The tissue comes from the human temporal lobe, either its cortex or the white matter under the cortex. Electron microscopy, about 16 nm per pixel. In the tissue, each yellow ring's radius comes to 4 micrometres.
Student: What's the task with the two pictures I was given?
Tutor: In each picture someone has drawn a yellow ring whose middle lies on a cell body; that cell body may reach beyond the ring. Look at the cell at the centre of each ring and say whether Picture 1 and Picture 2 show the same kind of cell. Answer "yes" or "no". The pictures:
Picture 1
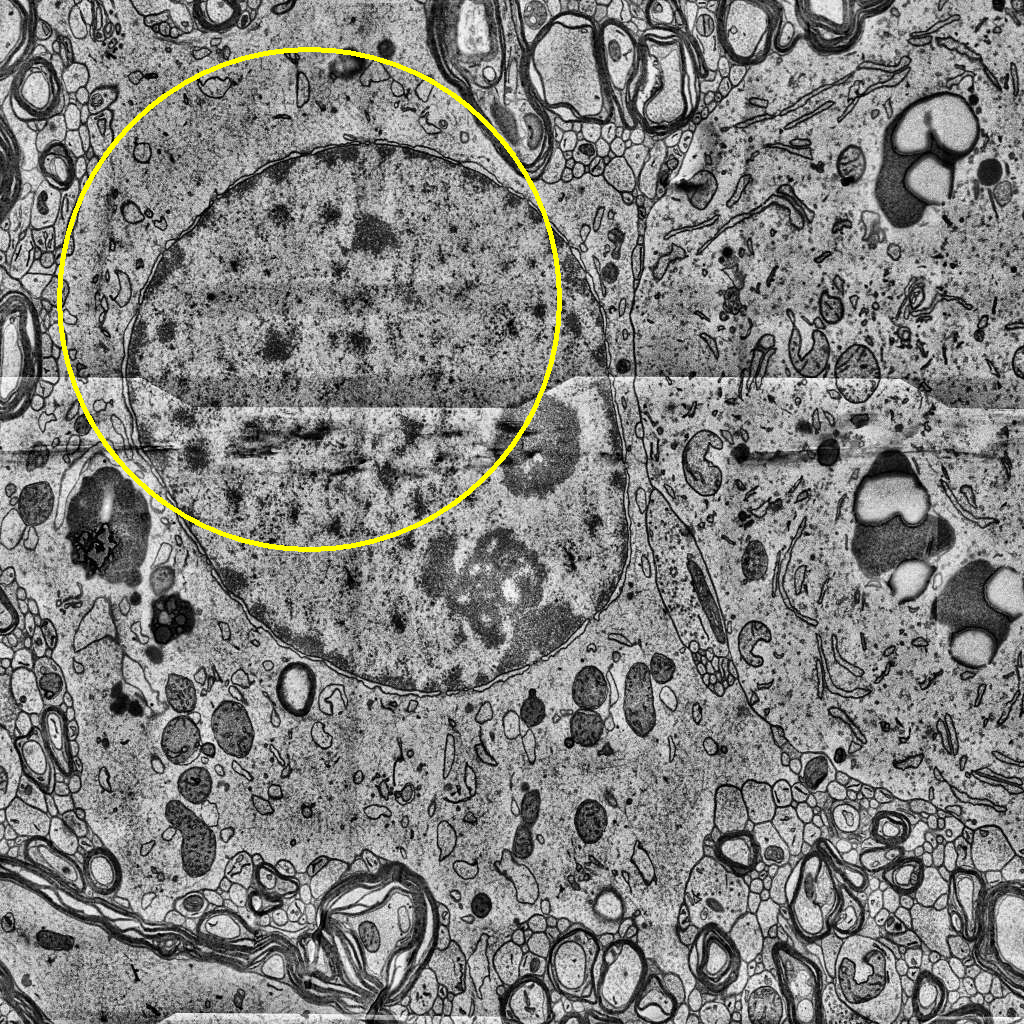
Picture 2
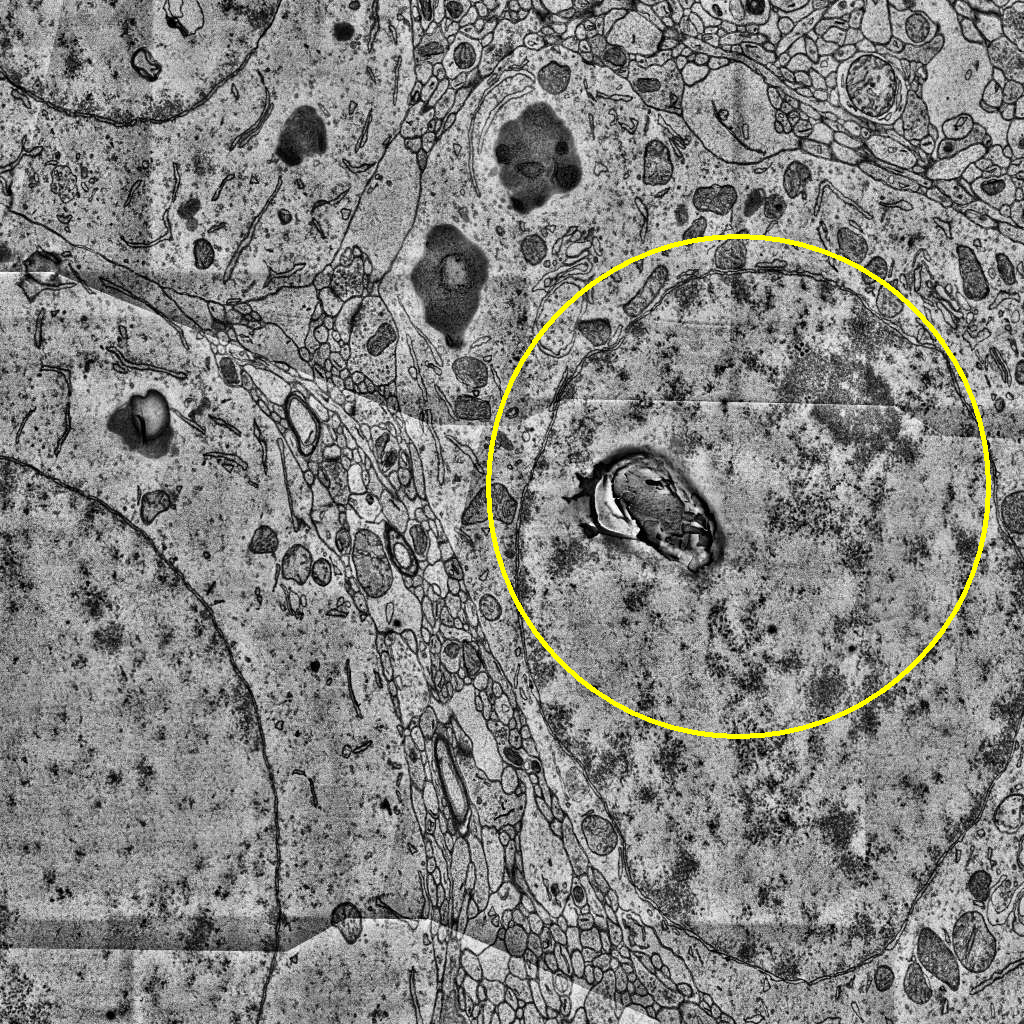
no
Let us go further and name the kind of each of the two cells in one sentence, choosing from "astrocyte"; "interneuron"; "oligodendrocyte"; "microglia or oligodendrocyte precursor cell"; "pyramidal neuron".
The two cells are an astrocyte in the first picture and an interneuron in the second.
